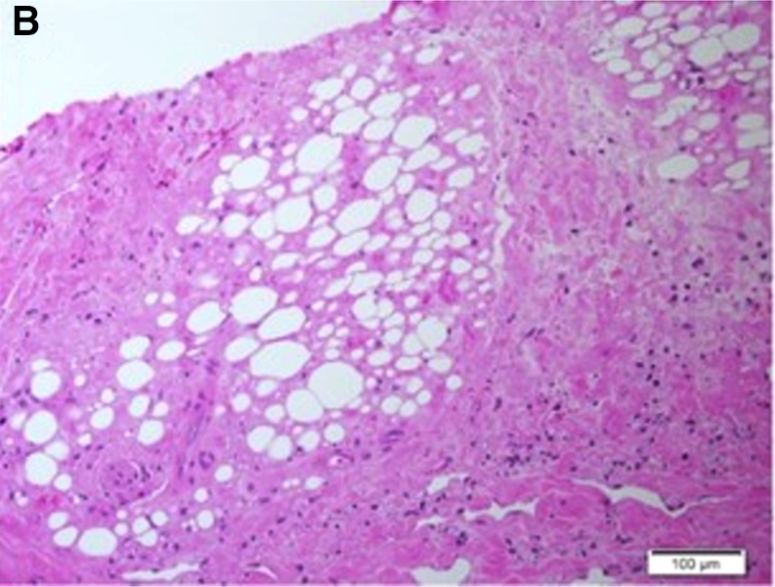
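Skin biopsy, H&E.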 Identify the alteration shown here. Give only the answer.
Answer: Fat necrosis with hyalinization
